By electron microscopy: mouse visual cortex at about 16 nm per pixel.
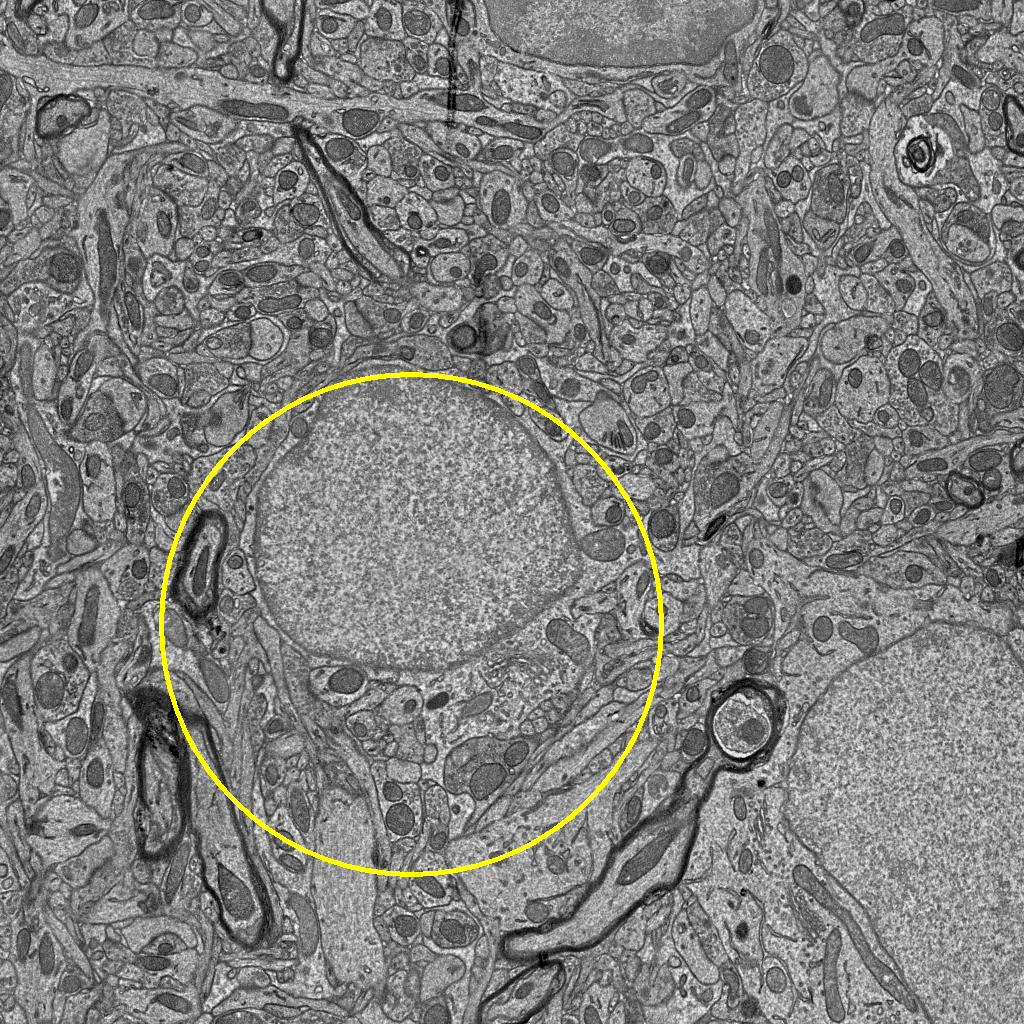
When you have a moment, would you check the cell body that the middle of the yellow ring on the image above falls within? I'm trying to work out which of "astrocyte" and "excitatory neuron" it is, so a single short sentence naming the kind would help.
This cell body belongs to an astrocyte.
